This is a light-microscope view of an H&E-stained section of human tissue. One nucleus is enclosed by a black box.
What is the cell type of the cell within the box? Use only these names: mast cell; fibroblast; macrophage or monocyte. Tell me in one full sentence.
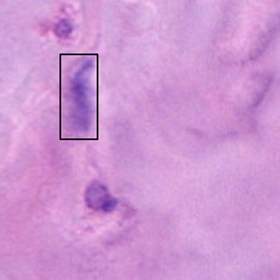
As for its identity, the cell within the box is a fibroblast.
